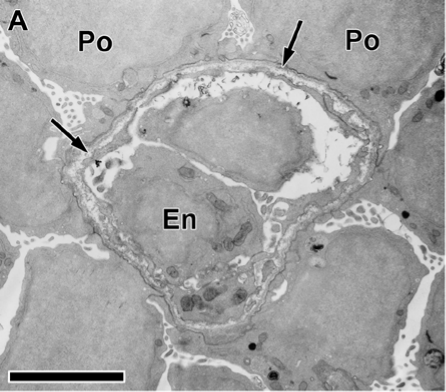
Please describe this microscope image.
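This electron micrograph shows a single capillary loop of an early glomerulus lined by endothelium and surrounded by podocytes. A thin, pale, layered basement membrane runs around the loop without any dark deposit. Large podocyte cell bodies with evenly grey cytoplasm crowd around the outside of the loop, separated by narrow pale clefts. The foot processes are not yet arranged in regular rows.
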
